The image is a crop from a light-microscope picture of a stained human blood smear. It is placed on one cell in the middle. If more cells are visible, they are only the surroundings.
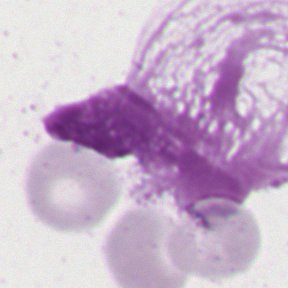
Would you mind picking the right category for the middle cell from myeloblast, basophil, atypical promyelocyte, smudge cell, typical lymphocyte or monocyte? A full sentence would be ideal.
On this slide crop, the central cell is a smudge cell.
